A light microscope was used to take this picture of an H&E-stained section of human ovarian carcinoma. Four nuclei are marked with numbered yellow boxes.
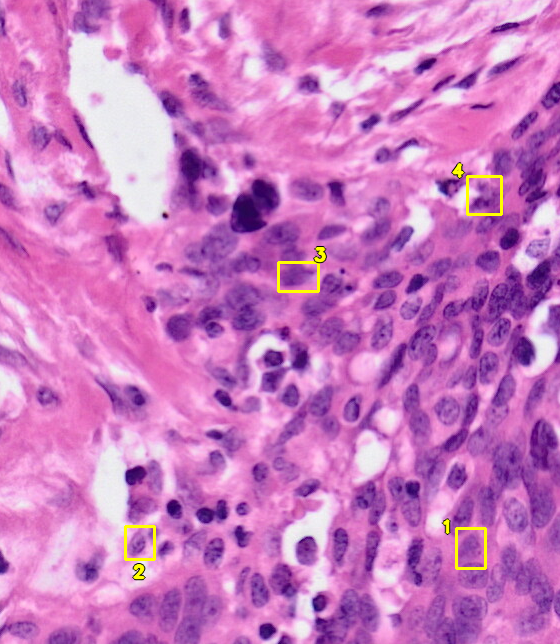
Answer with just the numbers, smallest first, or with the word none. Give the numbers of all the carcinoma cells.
1, 3, 4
